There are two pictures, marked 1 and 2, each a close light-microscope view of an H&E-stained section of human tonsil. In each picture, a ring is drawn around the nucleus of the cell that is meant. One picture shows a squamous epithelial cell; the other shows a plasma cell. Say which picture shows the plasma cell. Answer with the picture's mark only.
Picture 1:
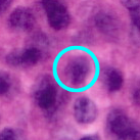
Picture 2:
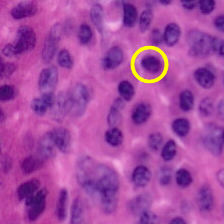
2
